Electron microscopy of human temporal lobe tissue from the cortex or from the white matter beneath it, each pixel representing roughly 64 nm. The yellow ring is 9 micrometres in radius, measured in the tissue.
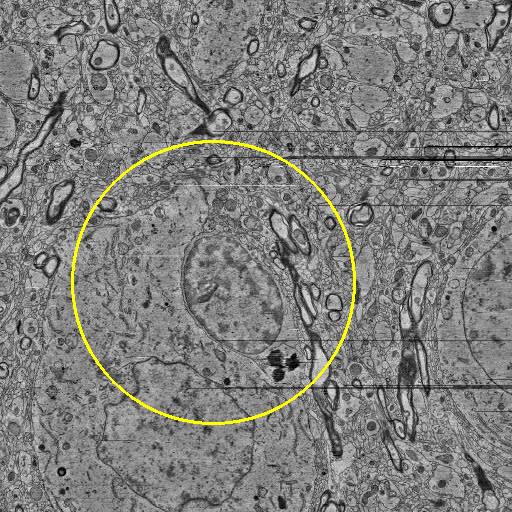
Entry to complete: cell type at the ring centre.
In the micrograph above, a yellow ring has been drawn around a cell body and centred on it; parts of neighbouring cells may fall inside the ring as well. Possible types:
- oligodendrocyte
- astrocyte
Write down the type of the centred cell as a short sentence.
The ring is centred on an oligodendrocyte.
